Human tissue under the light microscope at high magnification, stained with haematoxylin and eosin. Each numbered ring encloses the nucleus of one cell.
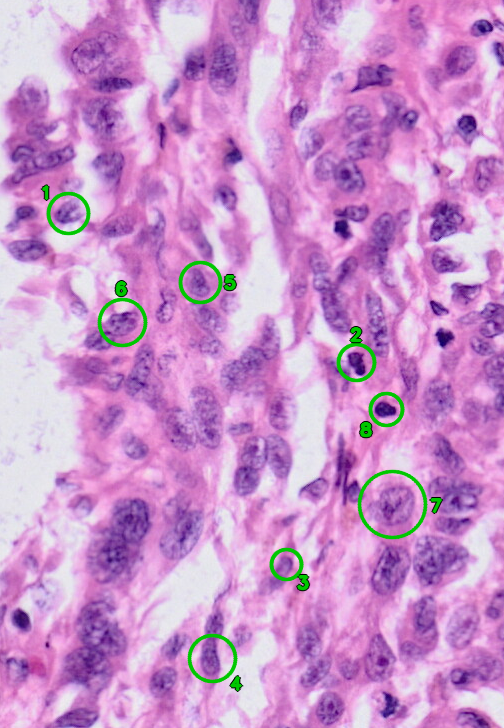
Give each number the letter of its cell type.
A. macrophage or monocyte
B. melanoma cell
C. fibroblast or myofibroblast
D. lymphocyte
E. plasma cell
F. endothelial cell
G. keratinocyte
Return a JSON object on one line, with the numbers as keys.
{"1": "B", "2": "D", "3": "A", "4": "B", "5": "B", "6": "B", "7": "B", "8": "D"}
